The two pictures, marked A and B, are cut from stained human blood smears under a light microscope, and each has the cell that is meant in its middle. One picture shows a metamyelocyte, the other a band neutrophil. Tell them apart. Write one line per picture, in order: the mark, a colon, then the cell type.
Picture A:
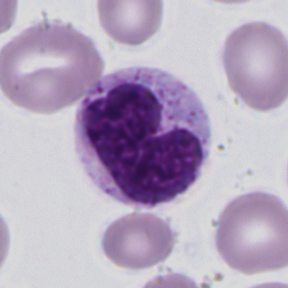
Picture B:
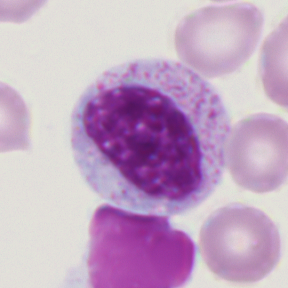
A: band neutrophil
B: metamyelocyte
